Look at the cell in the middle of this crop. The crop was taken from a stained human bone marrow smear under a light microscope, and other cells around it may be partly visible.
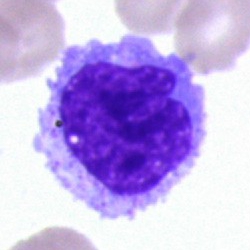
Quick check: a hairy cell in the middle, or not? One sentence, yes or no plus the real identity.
No, calling it a hairy cell is wrong; the middle cell is a monocyte.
